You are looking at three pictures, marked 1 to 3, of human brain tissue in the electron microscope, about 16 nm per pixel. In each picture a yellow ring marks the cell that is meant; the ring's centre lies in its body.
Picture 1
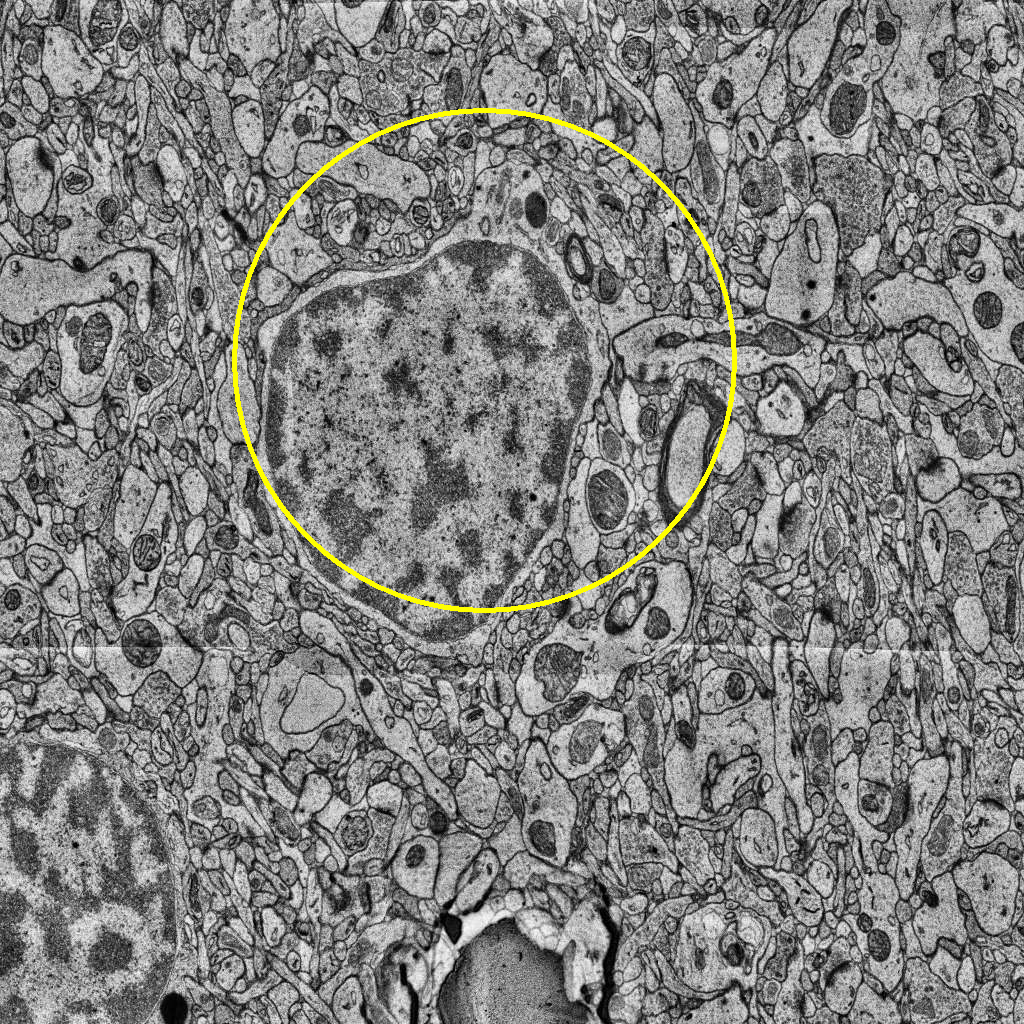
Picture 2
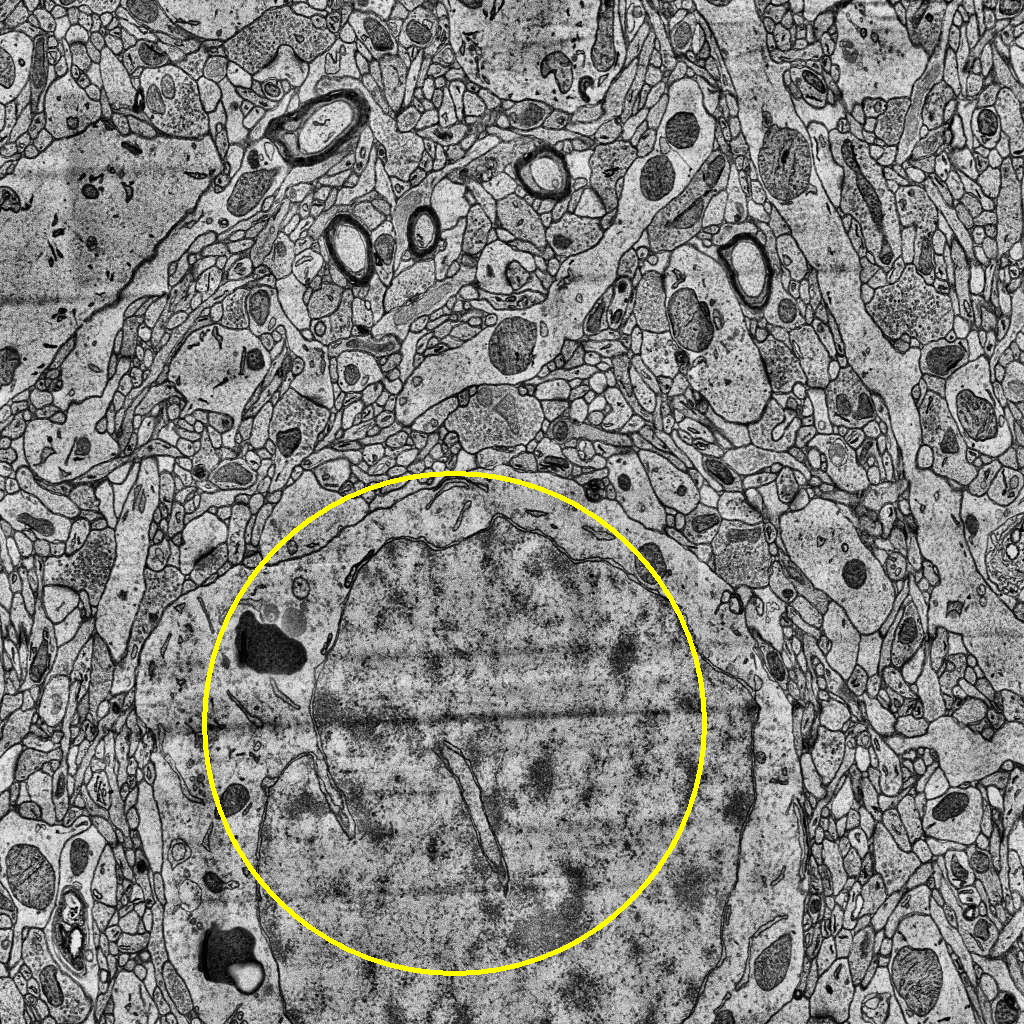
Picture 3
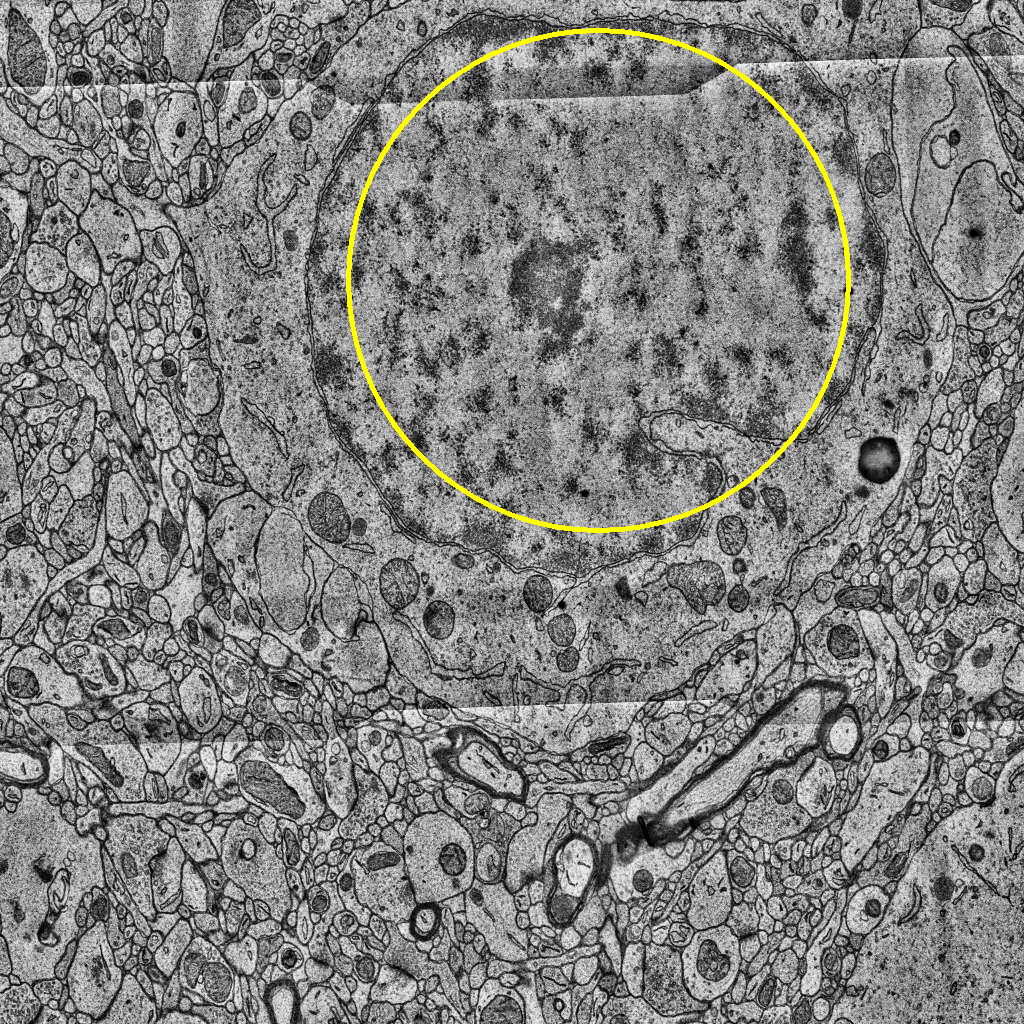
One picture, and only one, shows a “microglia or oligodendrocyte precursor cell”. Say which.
Picture 1 shows the “microglia or oligodendrocyte precursor cell”.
